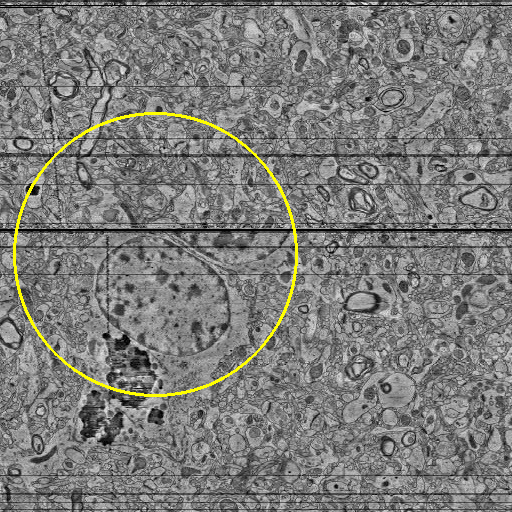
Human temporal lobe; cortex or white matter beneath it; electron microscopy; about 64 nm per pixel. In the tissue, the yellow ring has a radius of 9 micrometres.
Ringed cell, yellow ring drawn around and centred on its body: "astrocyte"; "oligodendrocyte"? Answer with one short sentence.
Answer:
This ringed cell is an astrocyte.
